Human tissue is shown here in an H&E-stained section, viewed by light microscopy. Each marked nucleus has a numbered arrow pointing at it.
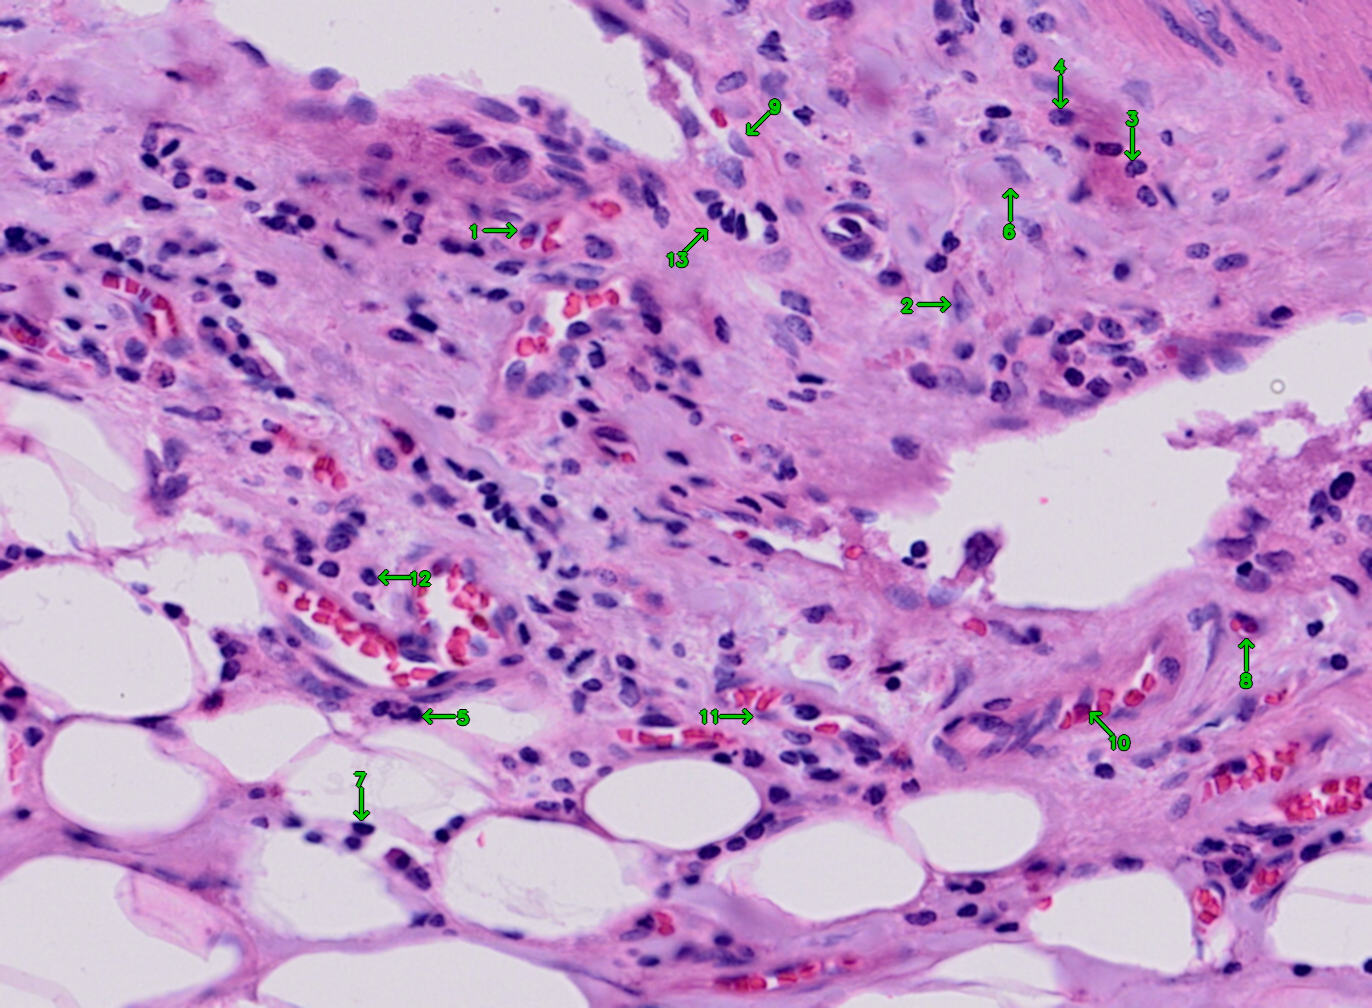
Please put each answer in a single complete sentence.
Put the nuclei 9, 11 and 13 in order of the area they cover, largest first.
Going from the biggest nucleus down to the smallest gives 13, 9, 11.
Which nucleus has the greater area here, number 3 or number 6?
Nucleus 6 is larger, with an area about 1.5 times that of nucleus 3.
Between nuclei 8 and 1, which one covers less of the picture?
Nucleus 1 is the smaller one; nucleus 8 covers about 2.5 times its area.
